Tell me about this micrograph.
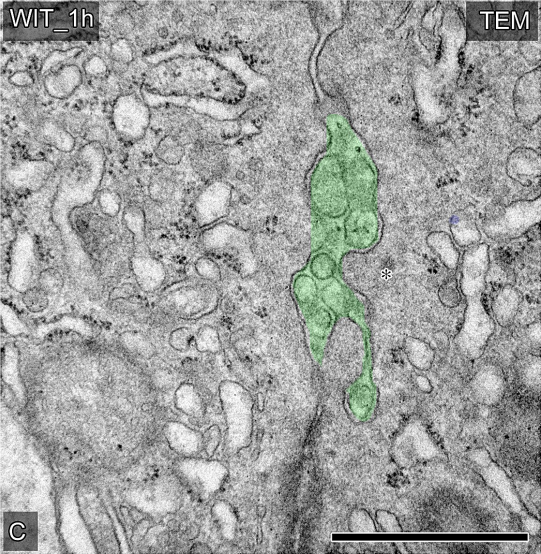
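This thin section shows the border between two liver cells, where an elongated lumen coloured green runs along the cell junction and contains several small round profiles like cut microvilli. Around it lies a band of pale, even cytoplasm without membrane-bound organelles, while farther away the cytoplasm is full of swollen tubular and vesicular membrane profiles. The green lumen is a bile canaliculus, surrounded by a vacant organelle-free zone.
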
